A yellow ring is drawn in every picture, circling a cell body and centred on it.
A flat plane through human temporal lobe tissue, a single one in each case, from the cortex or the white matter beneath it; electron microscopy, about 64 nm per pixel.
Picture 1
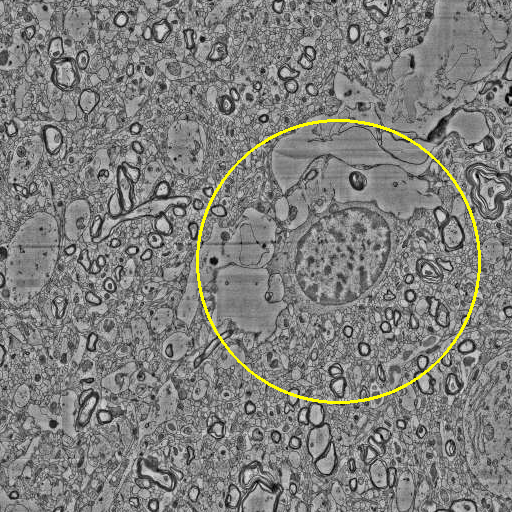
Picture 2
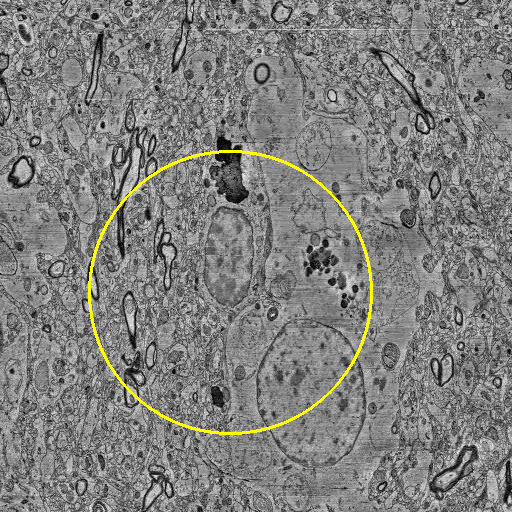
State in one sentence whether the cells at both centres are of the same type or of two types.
The cells at the two ring centres, one per picture, are of the same type.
